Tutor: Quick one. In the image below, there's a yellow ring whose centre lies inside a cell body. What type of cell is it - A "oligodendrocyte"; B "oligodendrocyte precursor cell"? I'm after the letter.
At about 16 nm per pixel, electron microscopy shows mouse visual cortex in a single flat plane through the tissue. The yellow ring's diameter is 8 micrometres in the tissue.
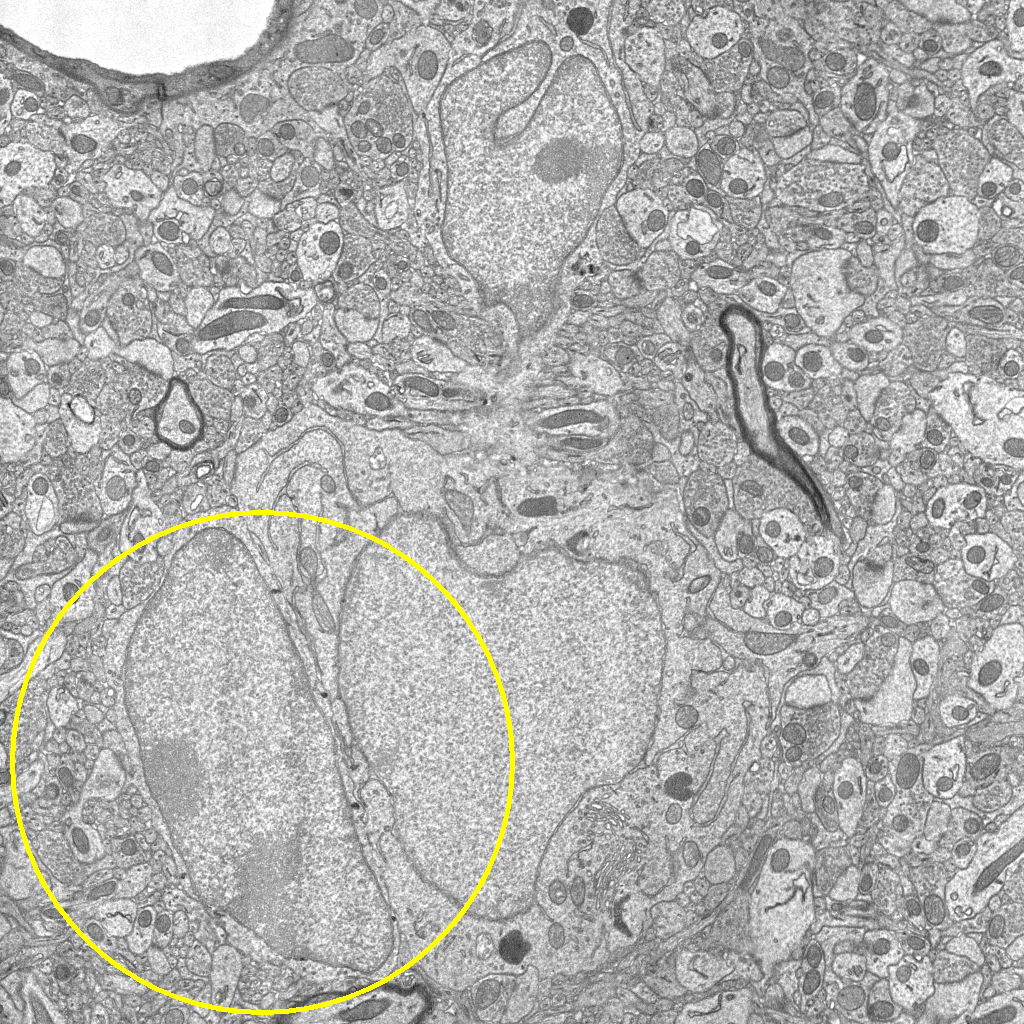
B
